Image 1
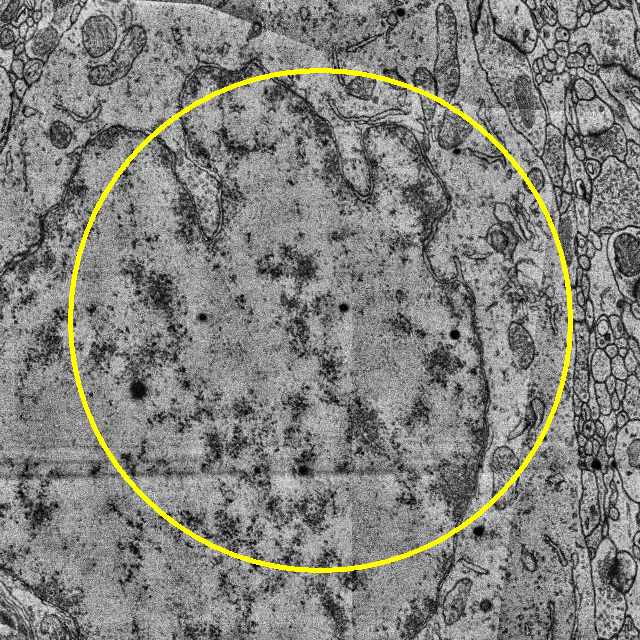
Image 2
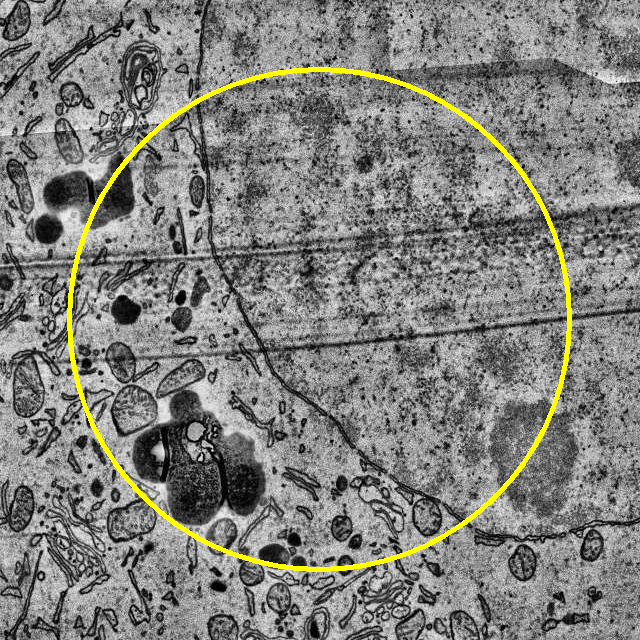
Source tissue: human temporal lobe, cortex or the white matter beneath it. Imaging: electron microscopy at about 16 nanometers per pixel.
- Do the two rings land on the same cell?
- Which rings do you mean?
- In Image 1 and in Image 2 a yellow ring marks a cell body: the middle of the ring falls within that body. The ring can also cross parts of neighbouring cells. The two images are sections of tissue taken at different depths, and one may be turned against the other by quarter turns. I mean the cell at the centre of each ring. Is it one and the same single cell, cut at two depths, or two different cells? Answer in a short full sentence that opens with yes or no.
No, the two rings were placed on two different cells.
